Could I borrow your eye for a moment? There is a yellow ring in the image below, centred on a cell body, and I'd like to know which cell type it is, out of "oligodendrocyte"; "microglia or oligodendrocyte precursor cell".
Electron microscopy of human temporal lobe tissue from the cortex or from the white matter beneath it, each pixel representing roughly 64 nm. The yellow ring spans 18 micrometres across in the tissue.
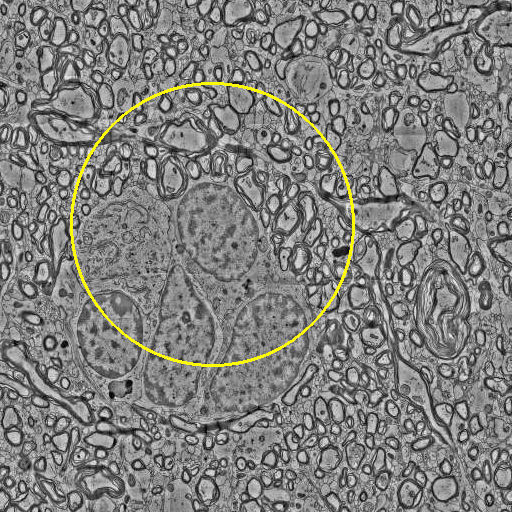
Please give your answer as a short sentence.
The cell body at the centre is that of an oligodendrocyte.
